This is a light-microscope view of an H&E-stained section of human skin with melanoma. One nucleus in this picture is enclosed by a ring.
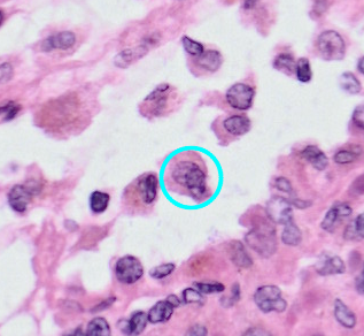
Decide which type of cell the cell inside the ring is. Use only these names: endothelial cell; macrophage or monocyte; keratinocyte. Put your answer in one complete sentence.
In the context of this tissue, the cell inside the ring is a macrophage or monocyte.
